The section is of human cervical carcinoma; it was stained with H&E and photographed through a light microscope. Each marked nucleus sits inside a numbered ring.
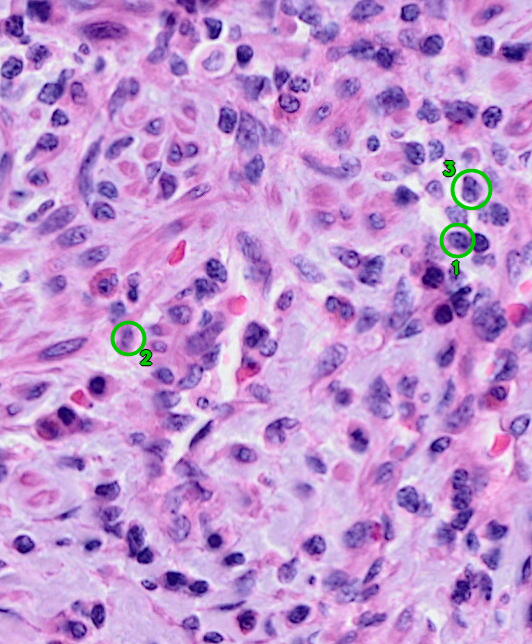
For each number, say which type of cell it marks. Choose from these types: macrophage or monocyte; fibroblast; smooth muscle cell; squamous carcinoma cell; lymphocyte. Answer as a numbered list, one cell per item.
1. lymphocyte
2. macrophage or monocyte
3. lymphocyte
